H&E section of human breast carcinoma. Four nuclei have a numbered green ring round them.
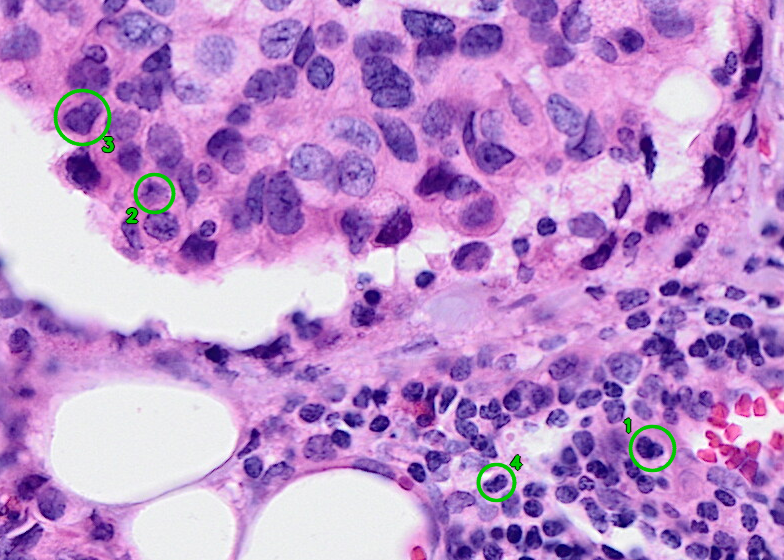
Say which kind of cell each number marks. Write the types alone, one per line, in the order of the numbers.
lymphocyte
carcinoma cell
carcinoma cell
lymphocyte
